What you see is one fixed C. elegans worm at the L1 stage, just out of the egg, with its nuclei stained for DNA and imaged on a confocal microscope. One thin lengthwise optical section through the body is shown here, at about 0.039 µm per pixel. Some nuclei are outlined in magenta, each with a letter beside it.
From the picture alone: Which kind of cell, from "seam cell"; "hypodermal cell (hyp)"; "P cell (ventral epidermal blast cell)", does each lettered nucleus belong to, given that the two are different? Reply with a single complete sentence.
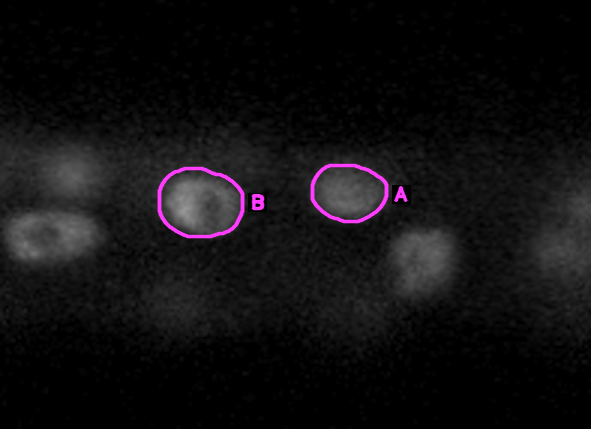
Nucleus A comes from a P cell (ventral epidermal blast cell) and nucleus B from a seam cell.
